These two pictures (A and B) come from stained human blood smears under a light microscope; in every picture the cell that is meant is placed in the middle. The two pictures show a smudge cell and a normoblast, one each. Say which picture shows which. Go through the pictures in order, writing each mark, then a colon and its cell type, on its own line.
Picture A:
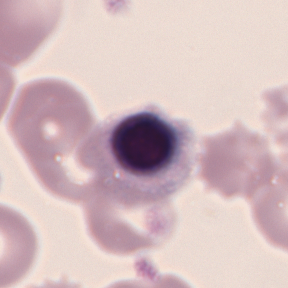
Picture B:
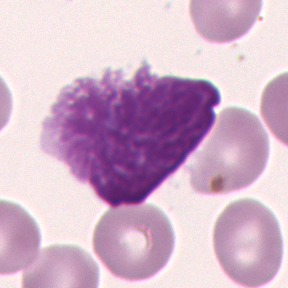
A: normoblast
B: smudge cell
